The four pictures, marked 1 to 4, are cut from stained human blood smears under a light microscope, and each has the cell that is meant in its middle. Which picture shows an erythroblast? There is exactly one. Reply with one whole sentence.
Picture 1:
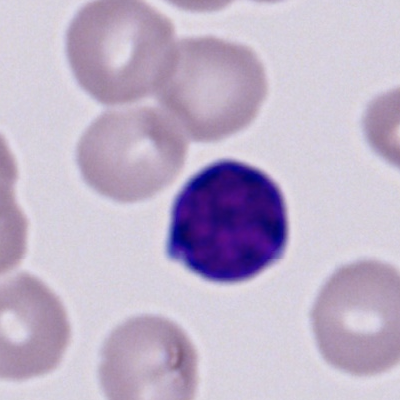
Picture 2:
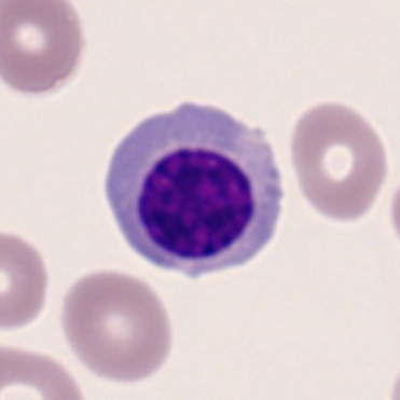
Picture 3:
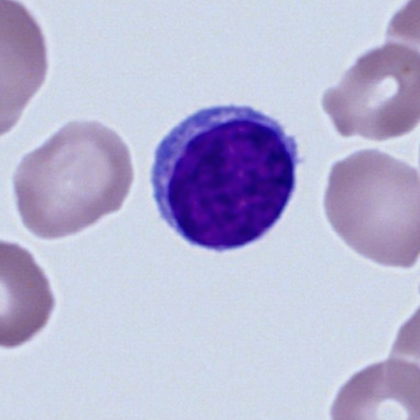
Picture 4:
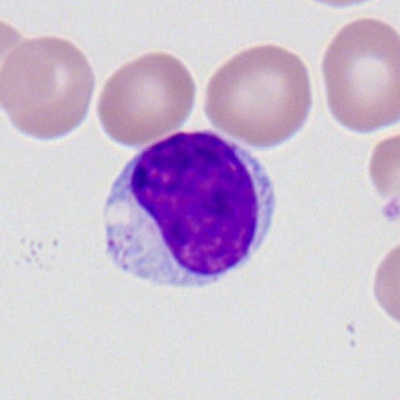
The cell in picture 2 is the erythroblast.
